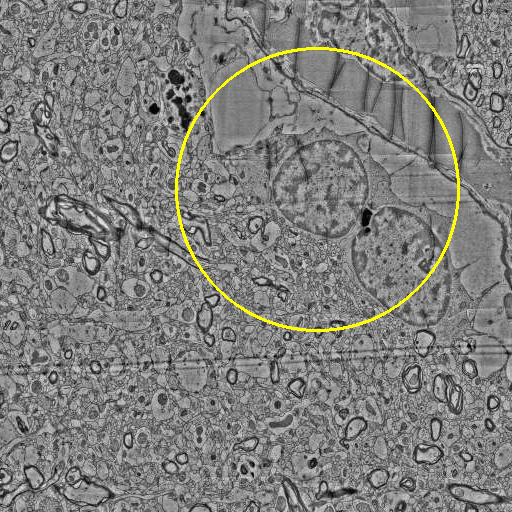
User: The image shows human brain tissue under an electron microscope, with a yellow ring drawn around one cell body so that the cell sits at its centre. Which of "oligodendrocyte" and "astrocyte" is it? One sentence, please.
At the centre of the ring sits an oligodendrocyte.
